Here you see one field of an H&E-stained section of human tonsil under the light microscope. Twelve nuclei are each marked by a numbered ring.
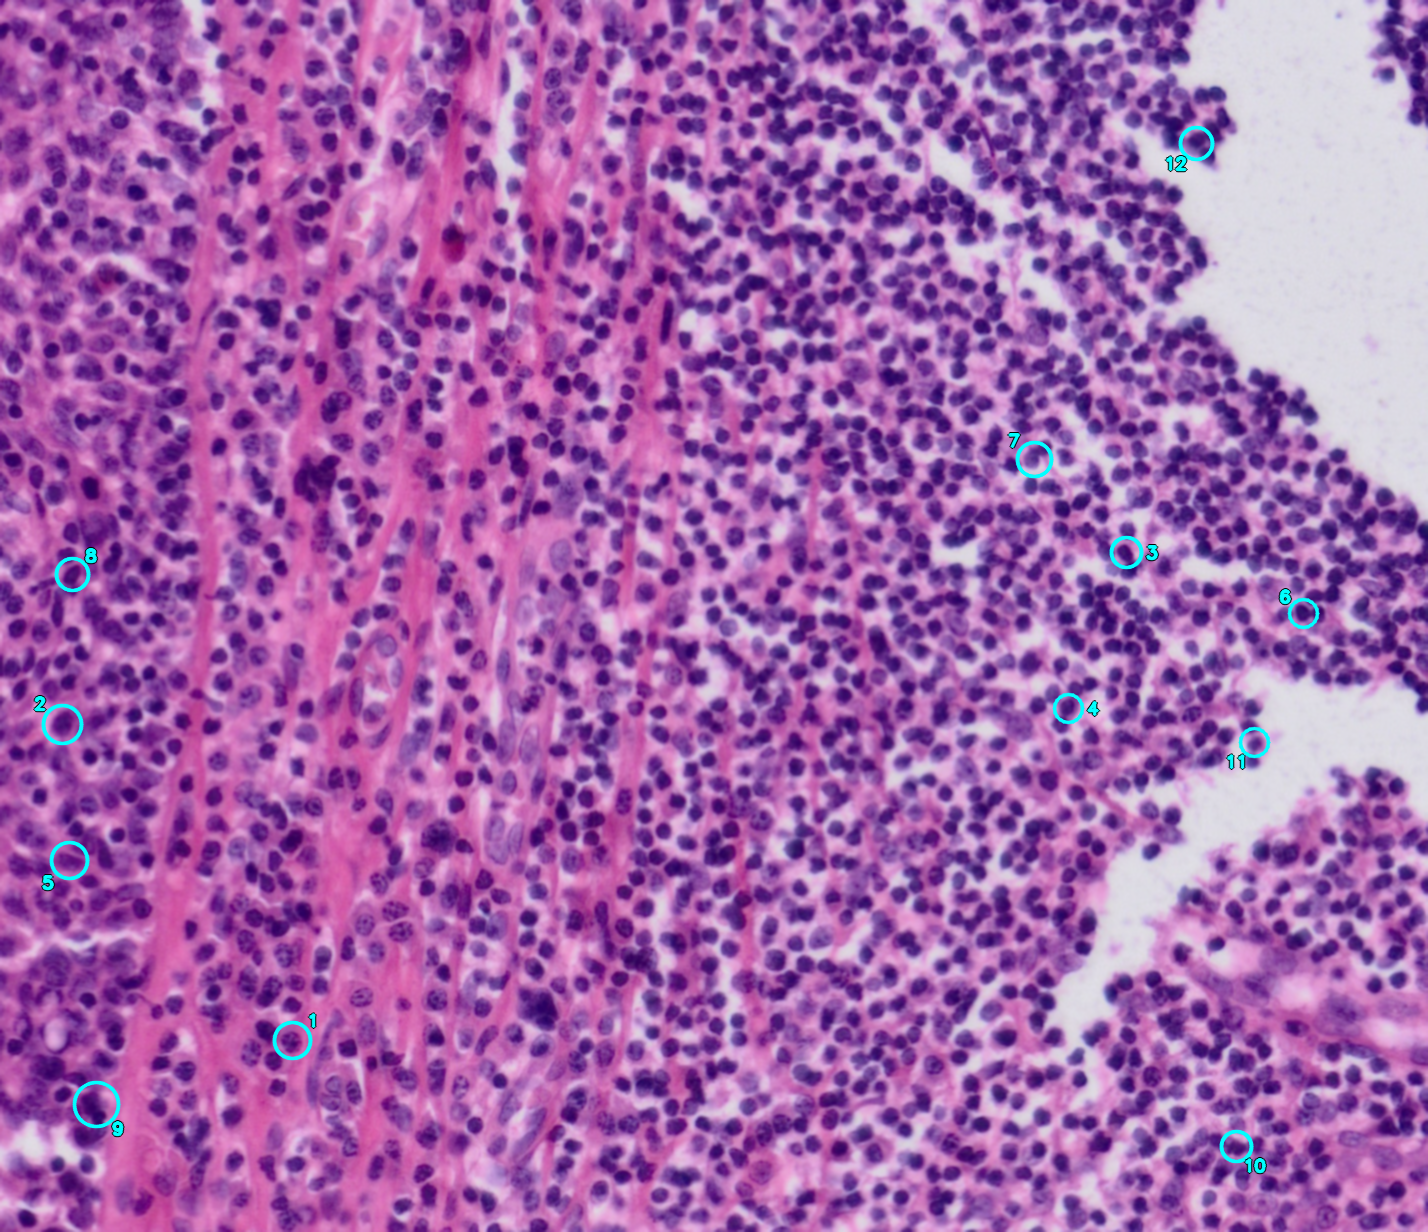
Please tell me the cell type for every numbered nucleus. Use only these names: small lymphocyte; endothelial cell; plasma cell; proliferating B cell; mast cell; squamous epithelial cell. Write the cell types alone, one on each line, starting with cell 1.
plasma cell
squamous epithelial cell
small lymphocyte
small lymphocyte
squamous epithelial cell
small lymphocyte
small lymphocyte
squamous epithelial cell
squamous epithelial cell
small lymphocyte
small lymphocyte
small lymphocyte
